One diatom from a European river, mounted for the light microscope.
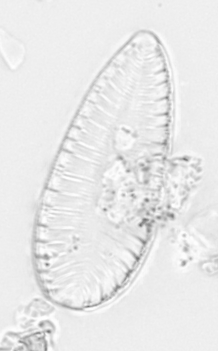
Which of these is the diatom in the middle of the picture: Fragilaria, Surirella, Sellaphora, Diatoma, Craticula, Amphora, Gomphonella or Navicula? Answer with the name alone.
Surirella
